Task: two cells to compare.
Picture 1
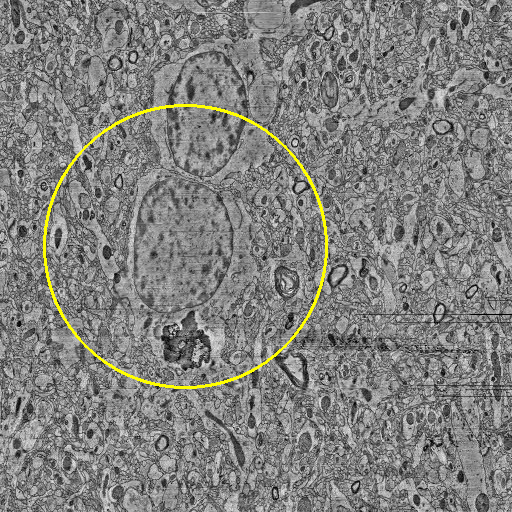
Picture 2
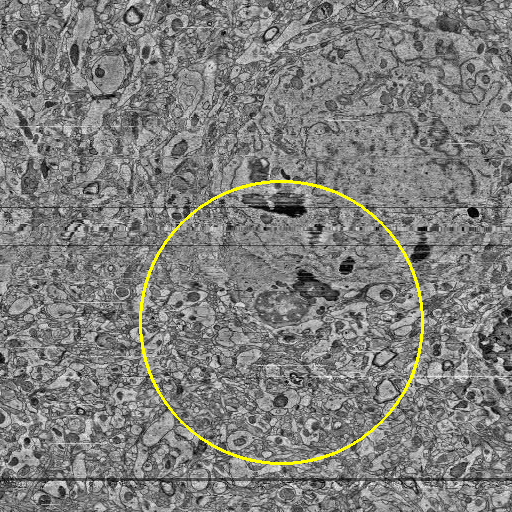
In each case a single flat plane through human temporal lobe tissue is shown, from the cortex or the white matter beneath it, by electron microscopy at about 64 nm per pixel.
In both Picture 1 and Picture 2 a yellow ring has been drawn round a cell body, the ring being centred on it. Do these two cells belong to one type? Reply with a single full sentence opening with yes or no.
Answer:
No, the two cells at the ring centres in Picture 1 and Picture 2 are of two types.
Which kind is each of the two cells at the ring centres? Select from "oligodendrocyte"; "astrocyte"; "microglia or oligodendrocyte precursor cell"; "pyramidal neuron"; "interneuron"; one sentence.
The cell at the centre of the ring is an astrocyte in the first picture and an oligodendrocyte in the second.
